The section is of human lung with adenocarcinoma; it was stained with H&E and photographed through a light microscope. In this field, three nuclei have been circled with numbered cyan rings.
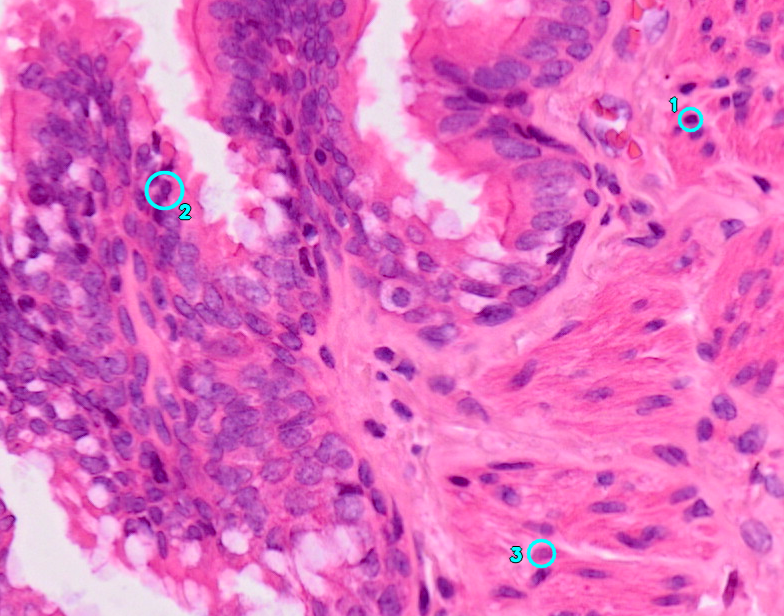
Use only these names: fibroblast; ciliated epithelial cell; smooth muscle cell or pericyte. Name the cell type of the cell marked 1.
smooth muscle cell or pericyte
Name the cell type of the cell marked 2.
ciliated epithelial cell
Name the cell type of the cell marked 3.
smooth muscle cell or pericyte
